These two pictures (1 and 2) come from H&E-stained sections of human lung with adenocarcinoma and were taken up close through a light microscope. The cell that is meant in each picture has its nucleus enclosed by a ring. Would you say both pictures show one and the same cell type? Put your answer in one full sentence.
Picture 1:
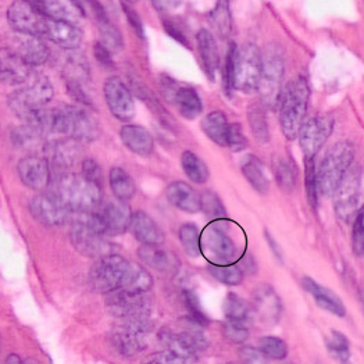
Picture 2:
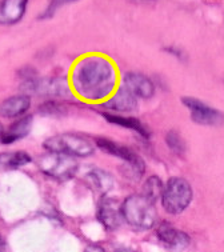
Yes, both cells are ciliated epithelial cells.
